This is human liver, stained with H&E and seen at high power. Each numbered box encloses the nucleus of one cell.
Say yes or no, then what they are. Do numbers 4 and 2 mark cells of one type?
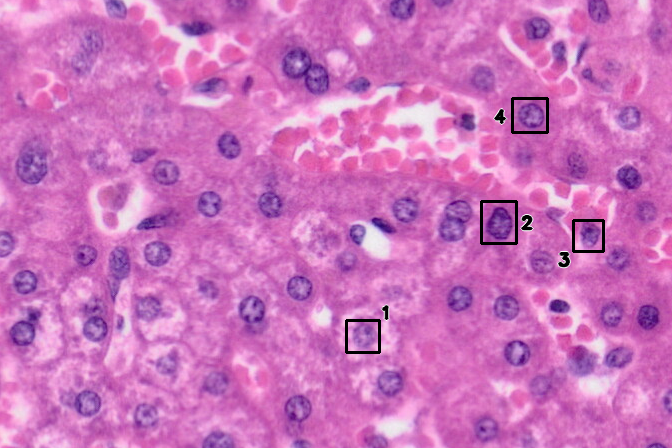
Yes, by their numbers, cells 4 and 2 are both hepatocytes.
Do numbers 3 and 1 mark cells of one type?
No, cell 3 is a Kupffer cell and cell 1 is a hepatocyte.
